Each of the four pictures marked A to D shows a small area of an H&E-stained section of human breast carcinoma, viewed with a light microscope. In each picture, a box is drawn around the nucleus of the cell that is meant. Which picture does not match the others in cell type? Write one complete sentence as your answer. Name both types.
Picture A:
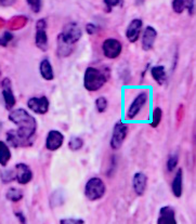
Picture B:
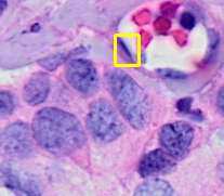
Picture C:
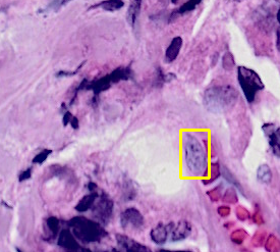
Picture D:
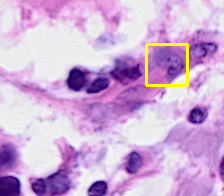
Picture A is the odd one out: it shows a lymphocyte, while the others show endothelial cells.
